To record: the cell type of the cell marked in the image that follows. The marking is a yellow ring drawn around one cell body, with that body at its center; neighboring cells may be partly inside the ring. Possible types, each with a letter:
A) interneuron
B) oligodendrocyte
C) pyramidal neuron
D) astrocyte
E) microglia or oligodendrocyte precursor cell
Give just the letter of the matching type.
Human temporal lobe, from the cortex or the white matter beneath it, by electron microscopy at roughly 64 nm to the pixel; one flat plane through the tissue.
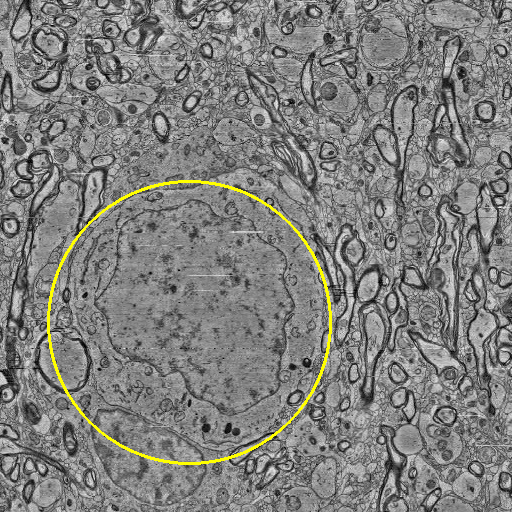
C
